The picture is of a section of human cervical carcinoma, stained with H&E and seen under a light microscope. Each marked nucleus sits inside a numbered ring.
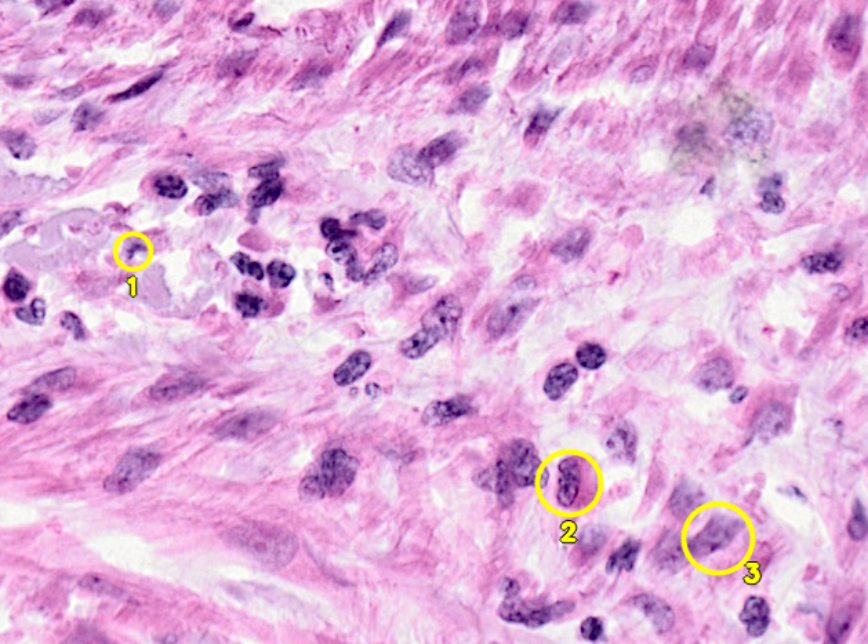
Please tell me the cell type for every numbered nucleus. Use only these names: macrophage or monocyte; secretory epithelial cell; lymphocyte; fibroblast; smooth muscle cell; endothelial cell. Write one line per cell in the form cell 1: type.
cell 1: fibroblast
cell 2: macrophage or monocyte
cell 3: fibroblast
